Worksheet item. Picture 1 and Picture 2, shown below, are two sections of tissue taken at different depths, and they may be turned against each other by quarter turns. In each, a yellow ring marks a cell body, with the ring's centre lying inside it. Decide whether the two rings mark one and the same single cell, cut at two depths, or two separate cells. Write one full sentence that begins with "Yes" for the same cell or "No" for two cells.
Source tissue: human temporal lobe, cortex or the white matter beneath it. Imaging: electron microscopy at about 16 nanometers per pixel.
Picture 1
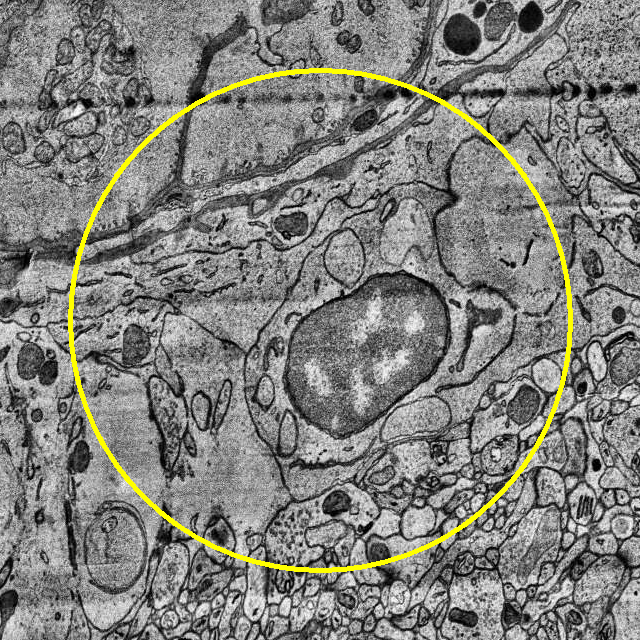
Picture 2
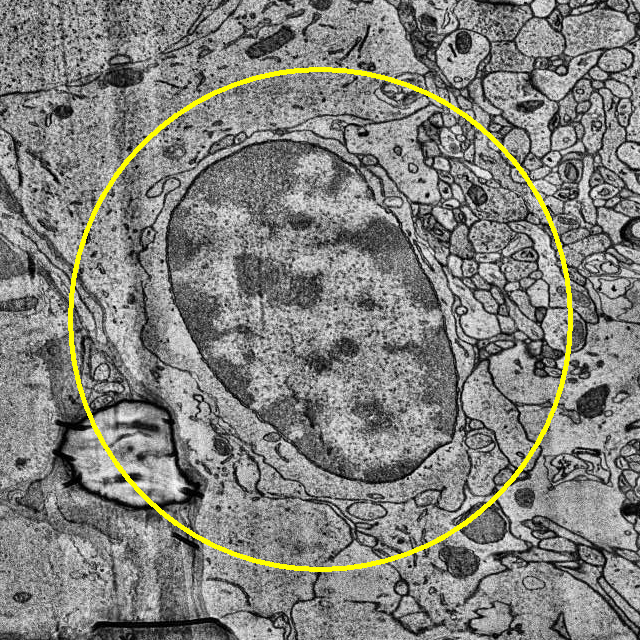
Yes, a single cell is marked twice, once by each yellow ring.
